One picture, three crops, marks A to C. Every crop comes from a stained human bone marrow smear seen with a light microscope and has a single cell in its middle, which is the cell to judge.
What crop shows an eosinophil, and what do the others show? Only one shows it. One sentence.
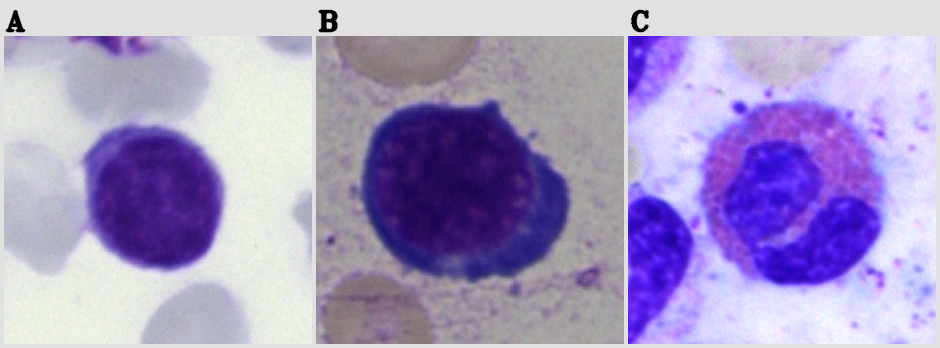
Of the crops, crop C shows an eosinophil, while crop A is a lymphocyte and crop B is a normoblast.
